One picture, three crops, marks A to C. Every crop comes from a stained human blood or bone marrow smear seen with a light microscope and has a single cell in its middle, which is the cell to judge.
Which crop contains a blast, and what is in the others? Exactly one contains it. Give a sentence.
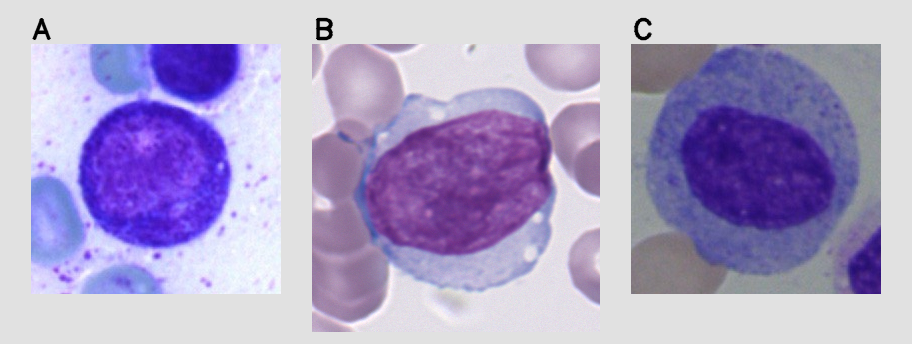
So crop B shows a blast, while crop A is a promyelocyte and crop C is a myelocyte.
